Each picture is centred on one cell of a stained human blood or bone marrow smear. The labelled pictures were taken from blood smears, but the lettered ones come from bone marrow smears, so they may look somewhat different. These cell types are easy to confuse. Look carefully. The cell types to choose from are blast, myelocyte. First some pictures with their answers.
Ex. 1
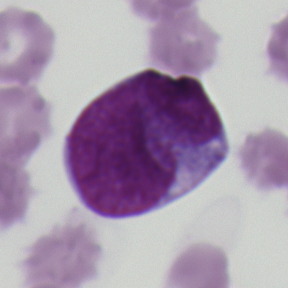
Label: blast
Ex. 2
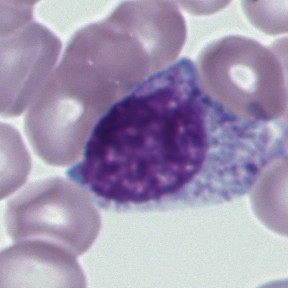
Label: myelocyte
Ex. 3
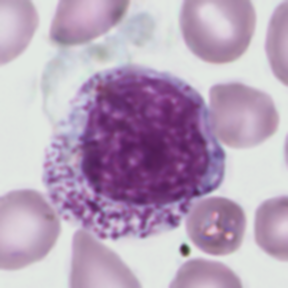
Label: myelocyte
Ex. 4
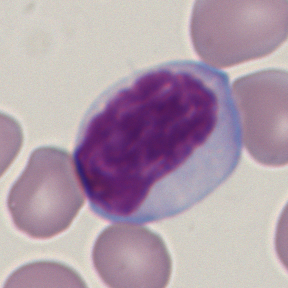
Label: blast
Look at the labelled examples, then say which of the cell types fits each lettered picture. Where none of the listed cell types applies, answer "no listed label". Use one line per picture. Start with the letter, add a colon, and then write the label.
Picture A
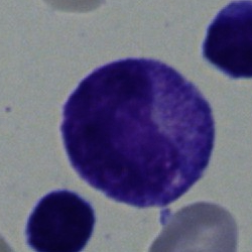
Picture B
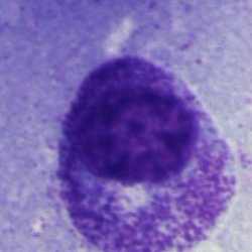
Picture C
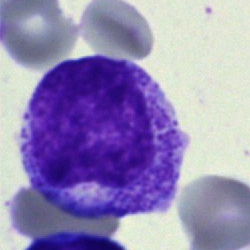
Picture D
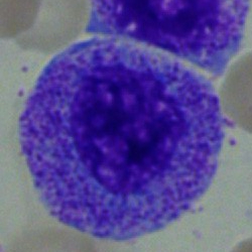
A: no listed label
B: myelocyte
C: myelocyte
D: no listed label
